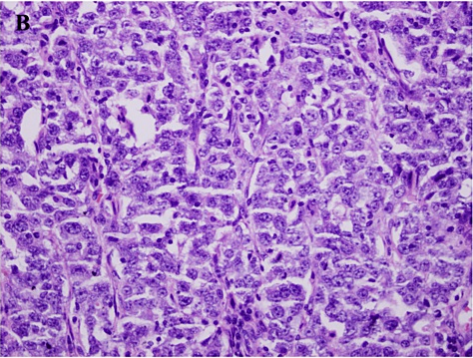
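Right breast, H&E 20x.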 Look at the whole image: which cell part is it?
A: Distinct nucleoli.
